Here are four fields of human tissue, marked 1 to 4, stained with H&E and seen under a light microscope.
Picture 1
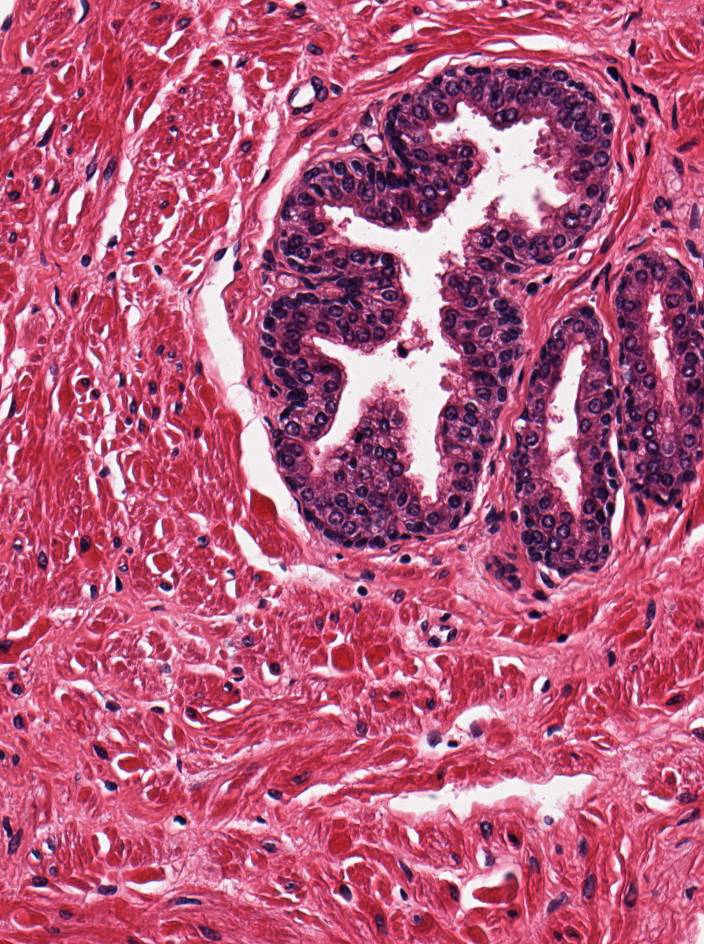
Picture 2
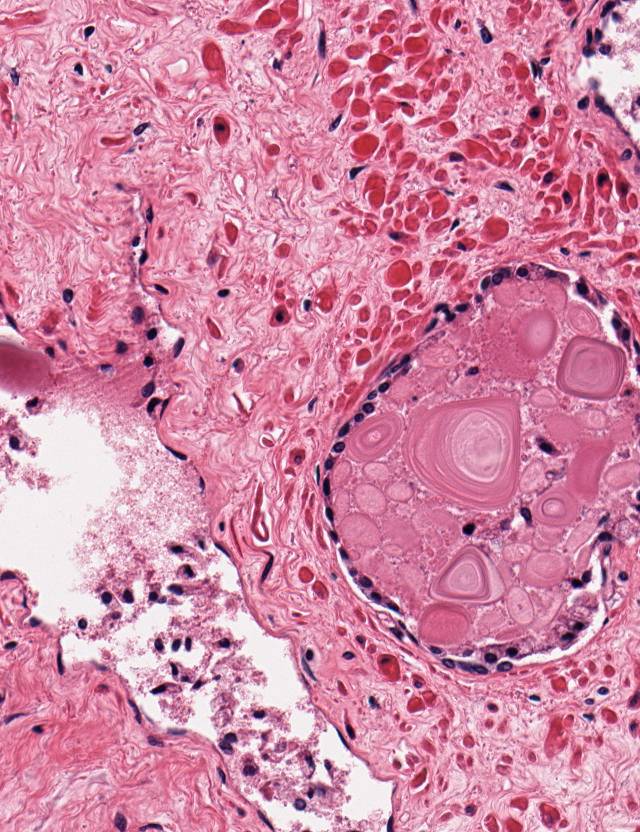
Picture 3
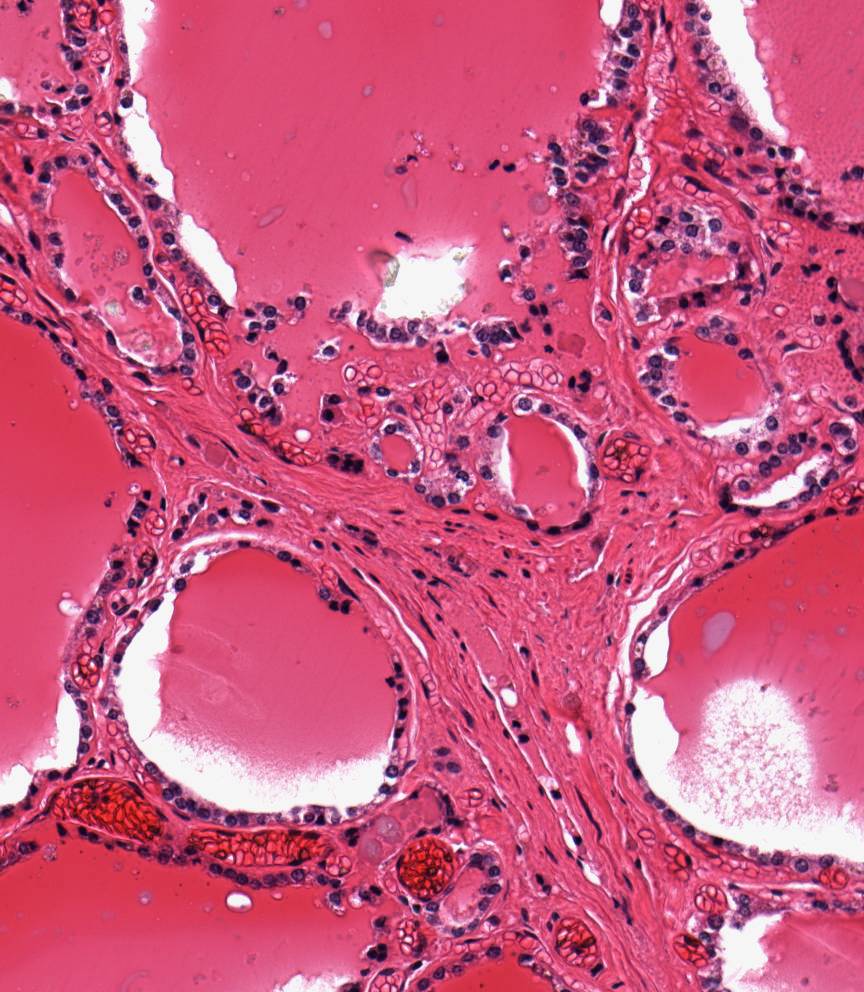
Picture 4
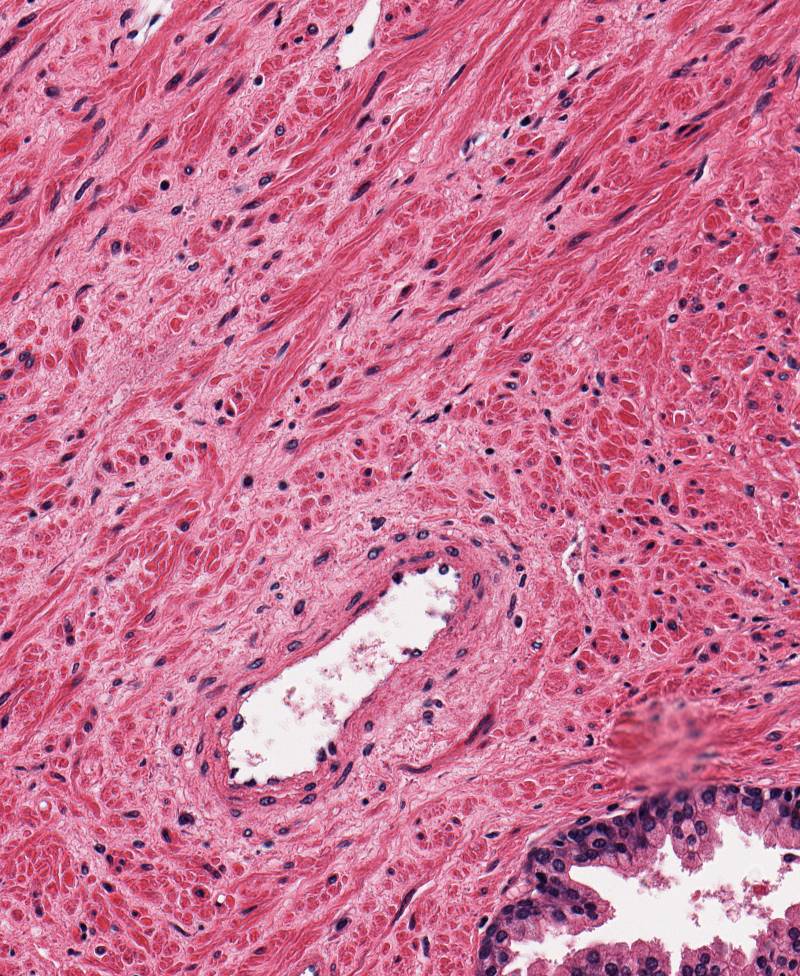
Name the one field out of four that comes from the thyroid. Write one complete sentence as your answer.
Picture 3 comes from the thyroid.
